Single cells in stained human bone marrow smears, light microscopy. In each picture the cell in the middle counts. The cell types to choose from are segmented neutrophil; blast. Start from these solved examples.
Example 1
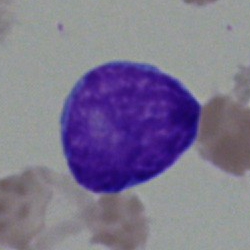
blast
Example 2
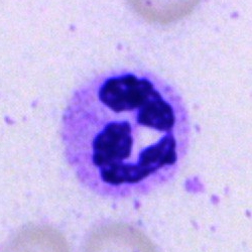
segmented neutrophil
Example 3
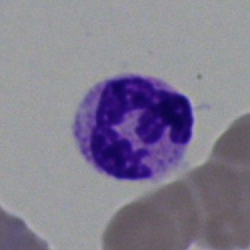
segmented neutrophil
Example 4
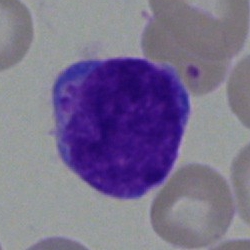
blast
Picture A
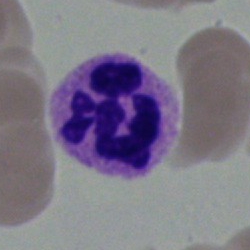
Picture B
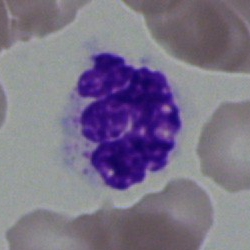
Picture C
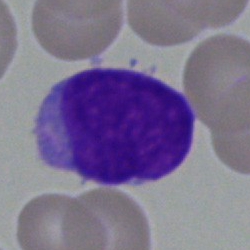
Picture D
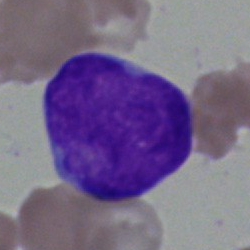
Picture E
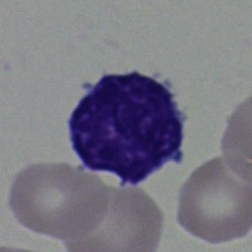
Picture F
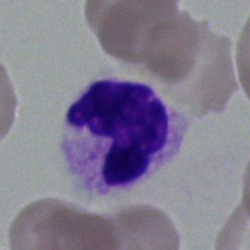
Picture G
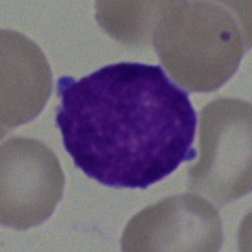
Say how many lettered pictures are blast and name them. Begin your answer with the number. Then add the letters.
Count: 4 (C, D, E, G)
